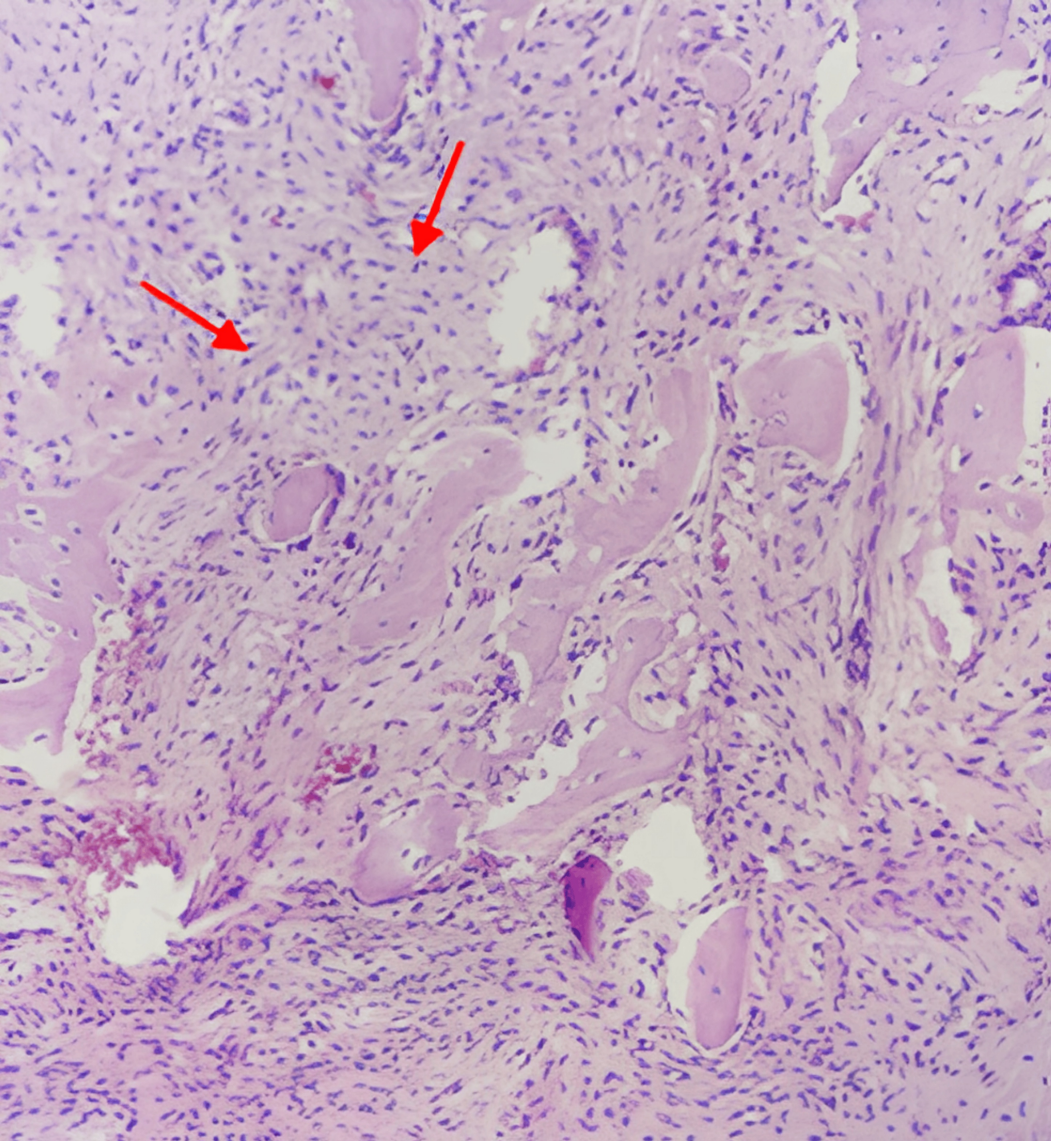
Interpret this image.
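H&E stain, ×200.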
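Fibrous dysplasia: irregular, curved pink bone trabeculae lie scattered within a cellular fibrous stroma of spindle cells. The spindle cells have slender, elongated purple nuclei that are small and uniform, arranged in loose whorls and short fascicles. The trabeculae are pale pink and homogeneous, some with small lacunae, and take odd curved and branching shapes. Small clefts and a few collections of red blood cells lie between stroma and bone.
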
